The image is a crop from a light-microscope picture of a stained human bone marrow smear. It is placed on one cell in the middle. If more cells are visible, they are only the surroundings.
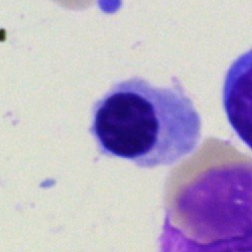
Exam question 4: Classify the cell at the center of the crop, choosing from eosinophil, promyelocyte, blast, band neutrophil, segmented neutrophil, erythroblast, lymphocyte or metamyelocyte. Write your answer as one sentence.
The middle of this crop is occupied by an erythroblast.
